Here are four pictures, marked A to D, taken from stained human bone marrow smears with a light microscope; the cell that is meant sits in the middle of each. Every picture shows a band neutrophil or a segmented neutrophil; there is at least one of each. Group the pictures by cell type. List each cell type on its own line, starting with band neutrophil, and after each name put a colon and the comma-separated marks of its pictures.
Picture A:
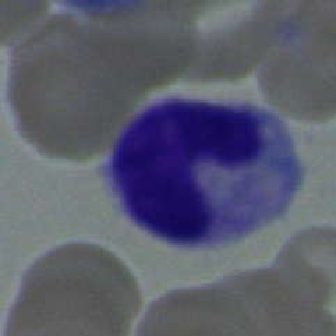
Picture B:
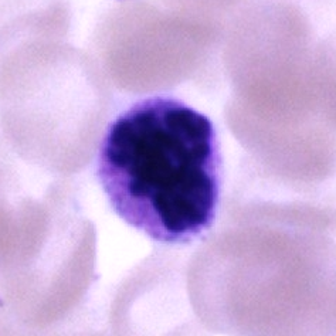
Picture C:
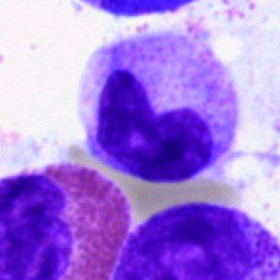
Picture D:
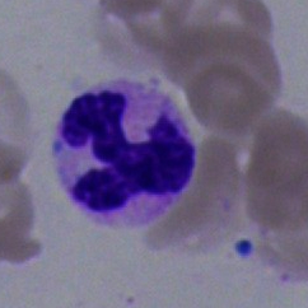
band neutrophil: A, C
segmented neutrophil: B, D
